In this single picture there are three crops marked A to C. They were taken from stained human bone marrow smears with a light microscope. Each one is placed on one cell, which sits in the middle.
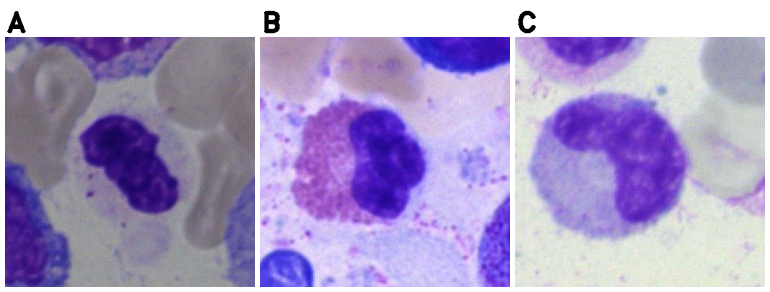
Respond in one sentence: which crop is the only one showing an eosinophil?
The crop with an eosinophil at its center is crop B.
